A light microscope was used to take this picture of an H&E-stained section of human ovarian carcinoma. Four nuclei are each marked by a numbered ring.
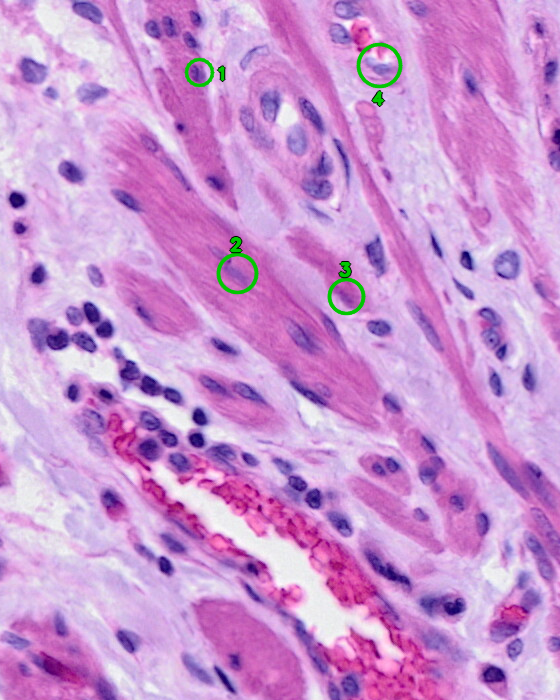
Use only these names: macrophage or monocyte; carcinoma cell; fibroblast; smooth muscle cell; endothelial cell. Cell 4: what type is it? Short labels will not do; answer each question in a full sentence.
The correct label for cell 4 is an endothelial cell.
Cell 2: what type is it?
In this section, number 2 marks a smooth muscle cell.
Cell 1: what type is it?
The mark numbered 1 indicates the nucleus of a smooth muscle cell.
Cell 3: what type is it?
The cell whose nucleus carries the number 3 is a smooth muscle cell.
